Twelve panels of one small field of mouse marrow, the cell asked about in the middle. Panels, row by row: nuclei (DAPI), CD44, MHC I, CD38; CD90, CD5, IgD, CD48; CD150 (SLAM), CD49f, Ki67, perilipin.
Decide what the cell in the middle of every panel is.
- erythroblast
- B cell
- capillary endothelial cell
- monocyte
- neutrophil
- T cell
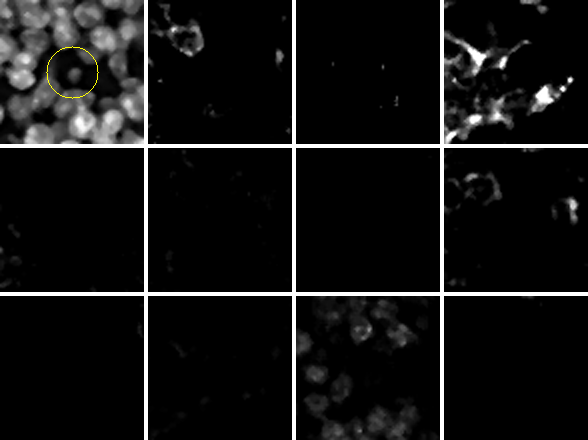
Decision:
erythroblast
